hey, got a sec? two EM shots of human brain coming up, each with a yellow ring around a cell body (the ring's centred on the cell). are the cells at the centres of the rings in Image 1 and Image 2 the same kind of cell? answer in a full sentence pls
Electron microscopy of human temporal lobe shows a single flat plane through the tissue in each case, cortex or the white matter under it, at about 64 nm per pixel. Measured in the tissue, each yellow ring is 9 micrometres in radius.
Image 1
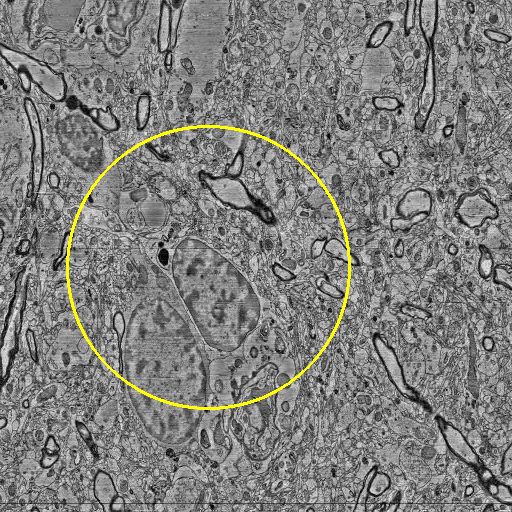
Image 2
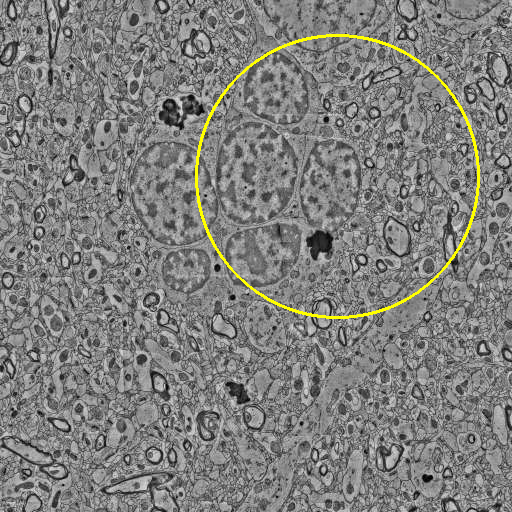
No, they are two kinds of cell.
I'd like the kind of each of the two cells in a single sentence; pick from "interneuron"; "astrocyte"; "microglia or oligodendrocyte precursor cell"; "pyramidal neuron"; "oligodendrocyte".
The first ring marks a microglial cell or oligodendrocyte precursor cell, and the second ring marks an oligodendrocyte.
